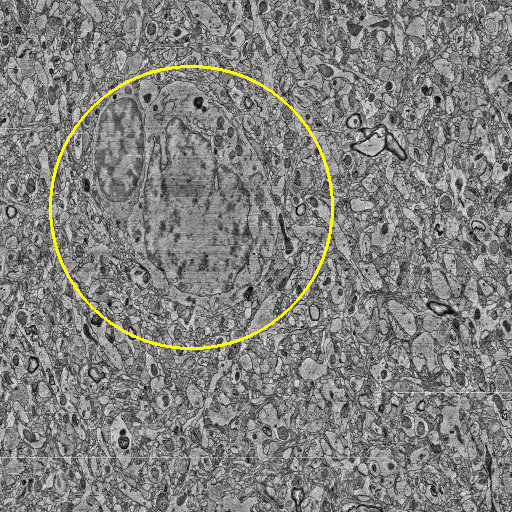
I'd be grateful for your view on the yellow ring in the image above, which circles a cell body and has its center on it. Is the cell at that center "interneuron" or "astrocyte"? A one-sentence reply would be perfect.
The cell at the center of the yellow ring is an interneuron.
